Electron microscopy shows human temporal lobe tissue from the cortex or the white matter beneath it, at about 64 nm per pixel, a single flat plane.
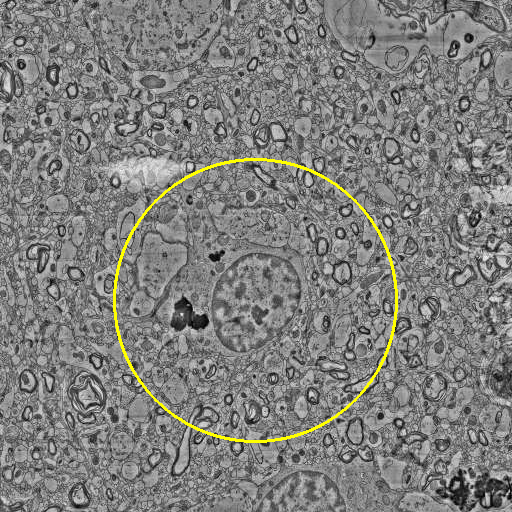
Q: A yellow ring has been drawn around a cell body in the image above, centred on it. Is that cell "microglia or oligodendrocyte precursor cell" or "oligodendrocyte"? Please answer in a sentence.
The ring surrounds the cell body of an oligodendrocyte.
